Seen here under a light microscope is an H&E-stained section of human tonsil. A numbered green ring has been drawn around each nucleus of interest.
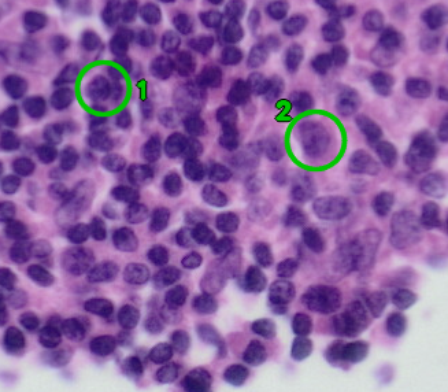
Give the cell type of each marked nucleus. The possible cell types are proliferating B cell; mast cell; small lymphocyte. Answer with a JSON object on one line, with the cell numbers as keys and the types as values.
{"1": "small lymphocyte", "2": "proliferating B cell"}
